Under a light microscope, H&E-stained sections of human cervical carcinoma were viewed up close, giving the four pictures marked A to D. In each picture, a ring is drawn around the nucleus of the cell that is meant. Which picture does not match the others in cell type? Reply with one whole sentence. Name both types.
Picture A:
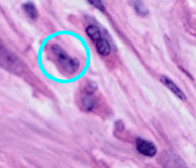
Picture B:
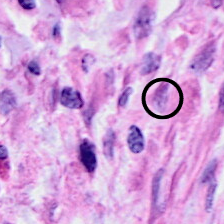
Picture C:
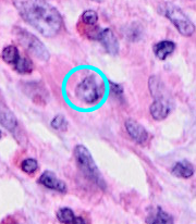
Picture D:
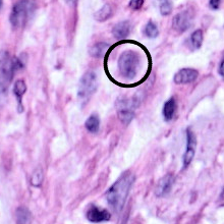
All pictures except B show “macrophages or monocytes”; picture B shows a fibroblast.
